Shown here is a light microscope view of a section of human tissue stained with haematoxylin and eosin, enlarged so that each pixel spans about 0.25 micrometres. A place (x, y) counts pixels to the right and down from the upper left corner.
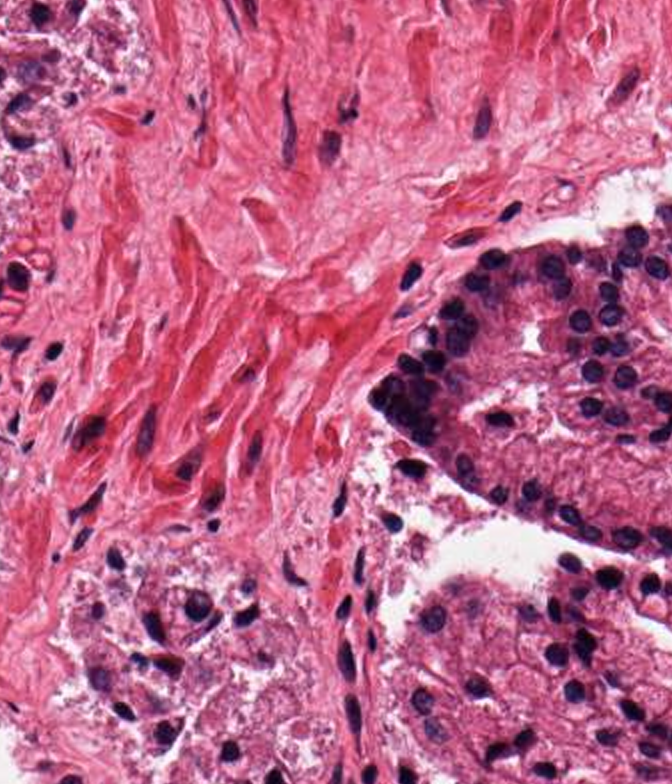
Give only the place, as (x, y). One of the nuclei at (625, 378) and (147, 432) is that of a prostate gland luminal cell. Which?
(625, 378)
